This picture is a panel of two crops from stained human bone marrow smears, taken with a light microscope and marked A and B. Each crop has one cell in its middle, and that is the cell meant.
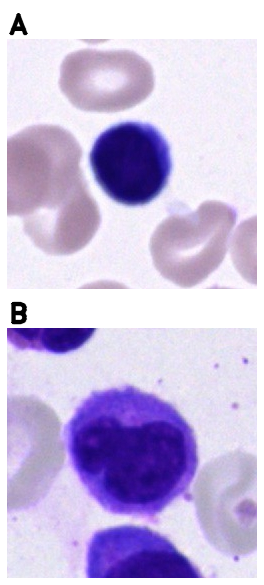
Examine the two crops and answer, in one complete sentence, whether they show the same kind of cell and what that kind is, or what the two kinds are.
No, crop B shows a monocyte, and crop A shows a lymphocyte.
